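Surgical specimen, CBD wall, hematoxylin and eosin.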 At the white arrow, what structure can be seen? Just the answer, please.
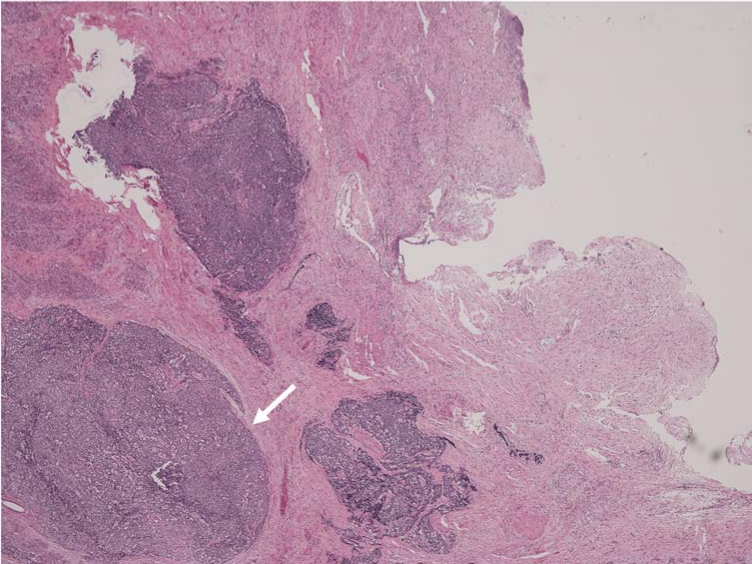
Follicular nests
